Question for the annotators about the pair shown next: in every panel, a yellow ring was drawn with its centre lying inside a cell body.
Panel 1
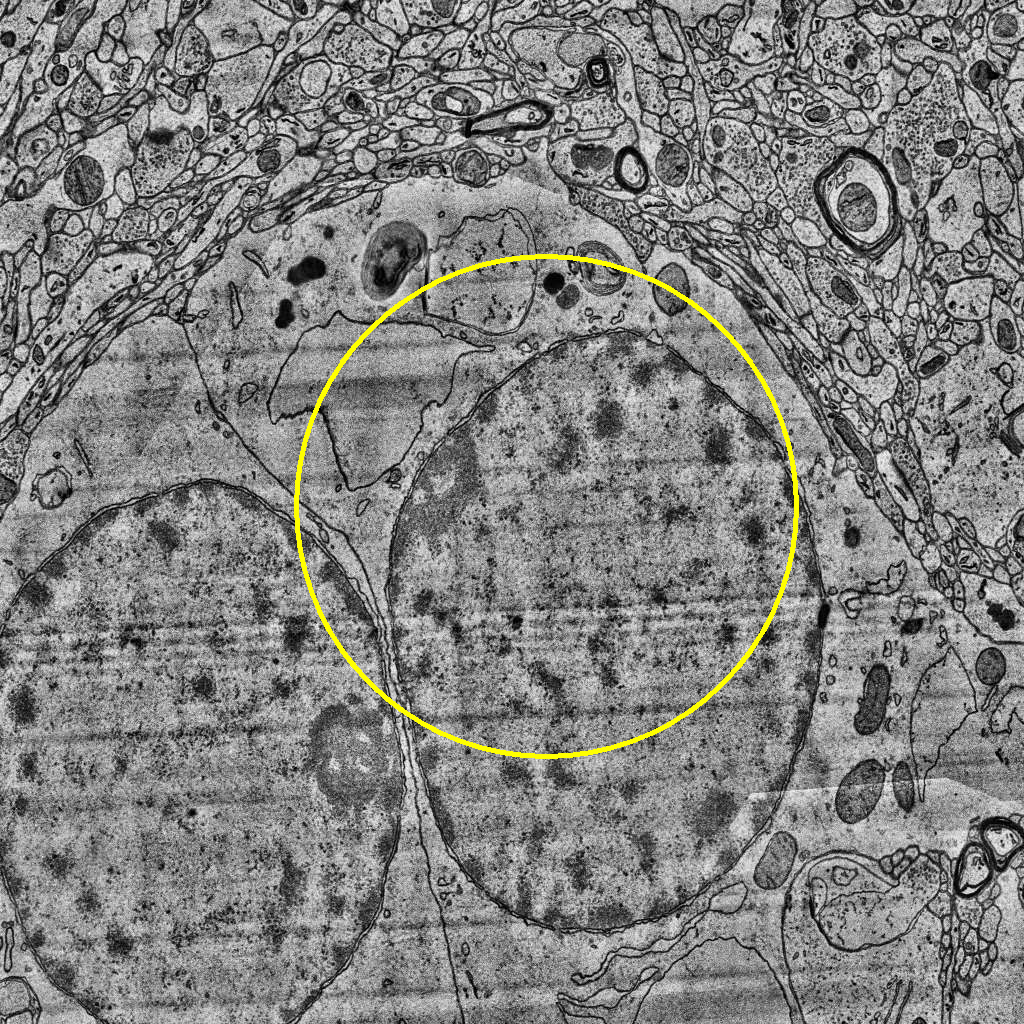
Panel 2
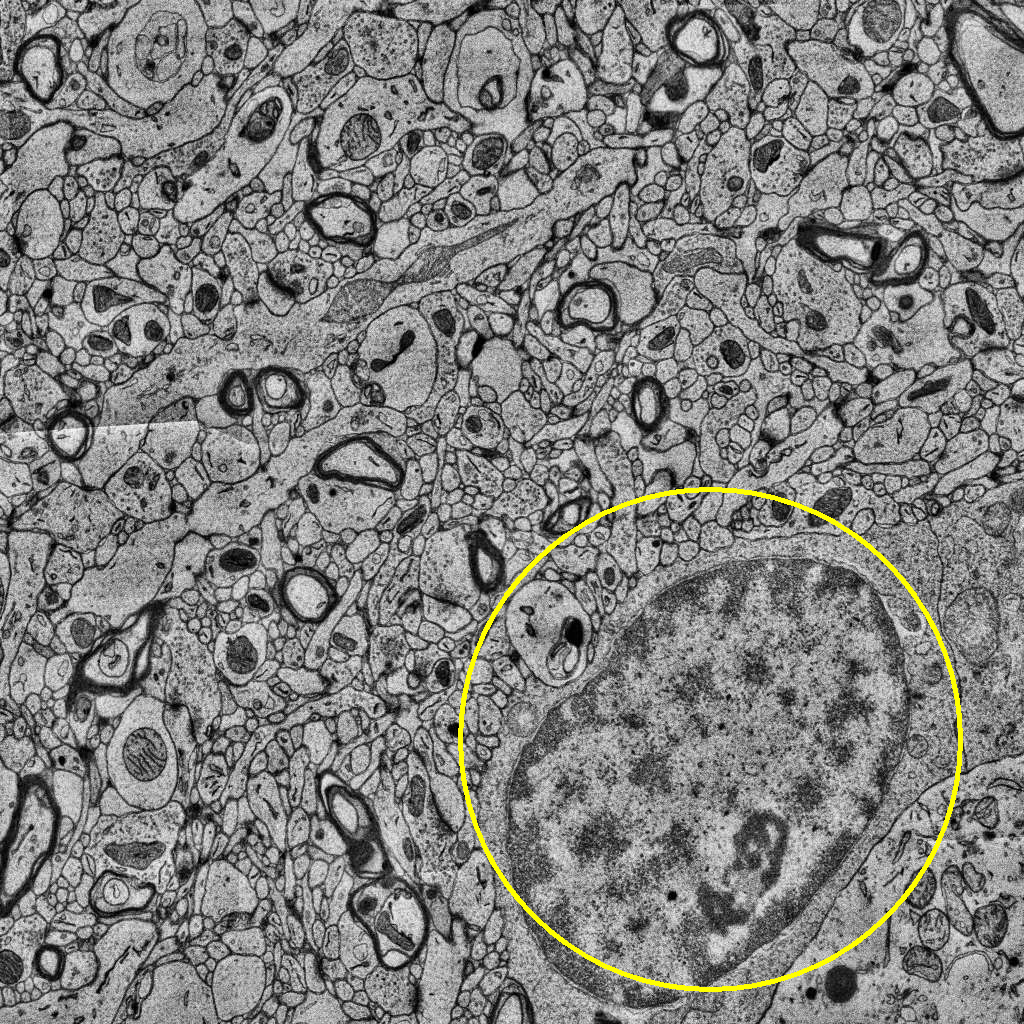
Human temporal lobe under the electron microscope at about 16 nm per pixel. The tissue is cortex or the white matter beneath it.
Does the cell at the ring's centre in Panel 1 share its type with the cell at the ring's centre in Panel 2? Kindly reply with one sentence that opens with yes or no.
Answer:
No, in Panels 1 and 2 the cells at the ring centres belong to separate types.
